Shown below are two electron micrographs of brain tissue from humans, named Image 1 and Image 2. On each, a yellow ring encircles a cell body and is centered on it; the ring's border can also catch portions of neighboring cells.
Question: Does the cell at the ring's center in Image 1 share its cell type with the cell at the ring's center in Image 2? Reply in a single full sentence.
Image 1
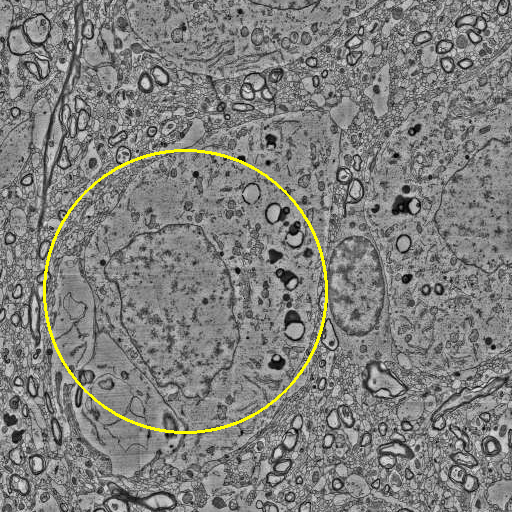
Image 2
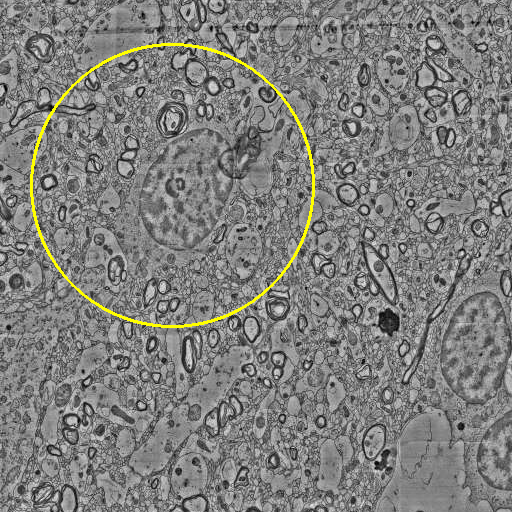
No, the two cells at the ring centers, in Image 1 and Image 2, are of two cell types.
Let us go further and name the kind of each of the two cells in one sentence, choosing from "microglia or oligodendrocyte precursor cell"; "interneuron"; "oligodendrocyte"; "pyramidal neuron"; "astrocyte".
The ring of the first picture is on a pyramidal neuron, the ring of the second on an oligodendrocyte.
